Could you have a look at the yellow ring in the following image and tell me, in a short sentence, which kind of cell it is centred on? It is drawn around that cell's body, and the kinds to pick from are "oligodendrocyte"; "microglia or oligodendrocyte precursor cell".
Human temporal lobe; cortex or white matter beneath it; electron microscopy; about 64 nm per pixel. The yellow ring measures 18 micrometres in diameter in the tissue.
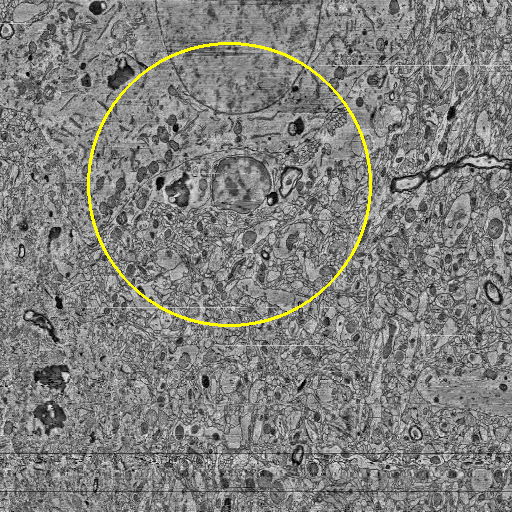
The ring is centred on the body of a microglial cell or oligodendrocyte precursor cell.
